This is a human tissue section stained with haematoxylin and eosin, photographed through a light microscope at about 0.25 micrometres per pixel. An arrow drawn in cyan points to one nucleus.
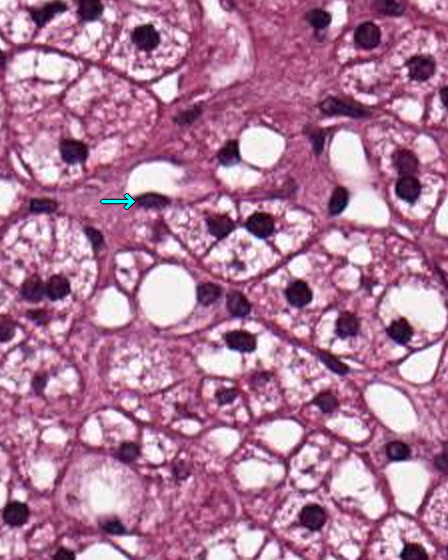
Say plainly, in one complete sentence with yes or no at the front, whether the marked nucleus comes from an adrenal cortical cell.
No, an adrenal cortical cell does not own the marked nucleus, which belongs to a supporting cell.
